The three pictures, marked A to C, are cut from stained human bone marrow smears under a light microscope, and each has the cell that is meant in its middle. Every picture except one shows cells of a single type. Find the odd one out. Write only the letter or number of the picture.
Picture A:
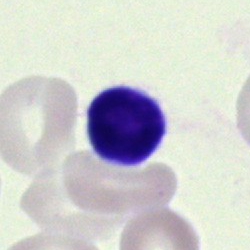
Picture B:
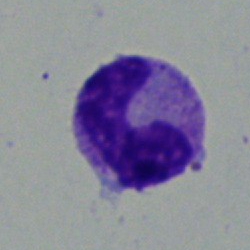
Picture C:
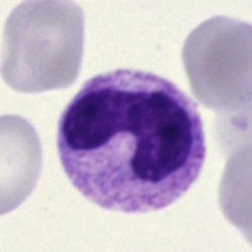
A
